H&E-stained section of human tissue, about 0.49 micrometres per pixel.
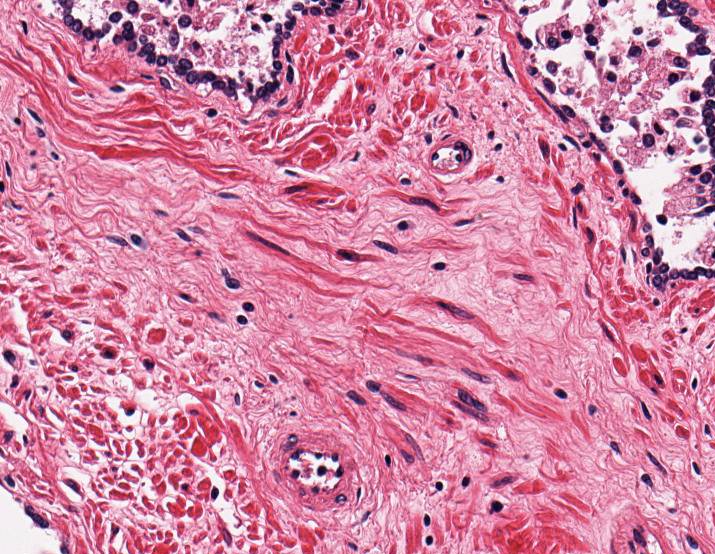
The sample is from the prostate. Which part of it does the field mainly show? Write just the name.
fibromuscular stroma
